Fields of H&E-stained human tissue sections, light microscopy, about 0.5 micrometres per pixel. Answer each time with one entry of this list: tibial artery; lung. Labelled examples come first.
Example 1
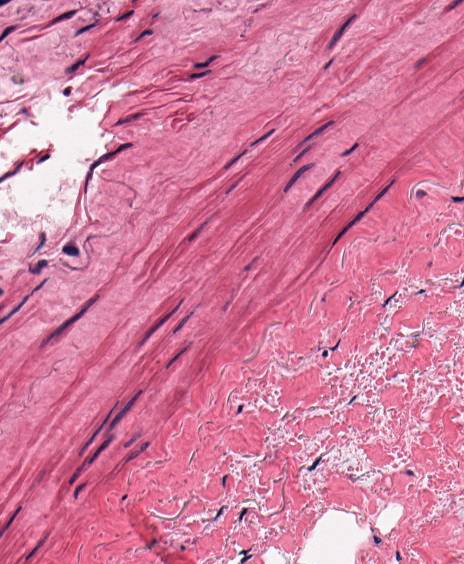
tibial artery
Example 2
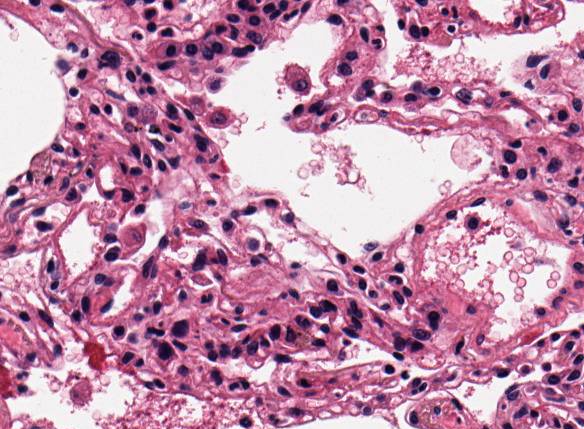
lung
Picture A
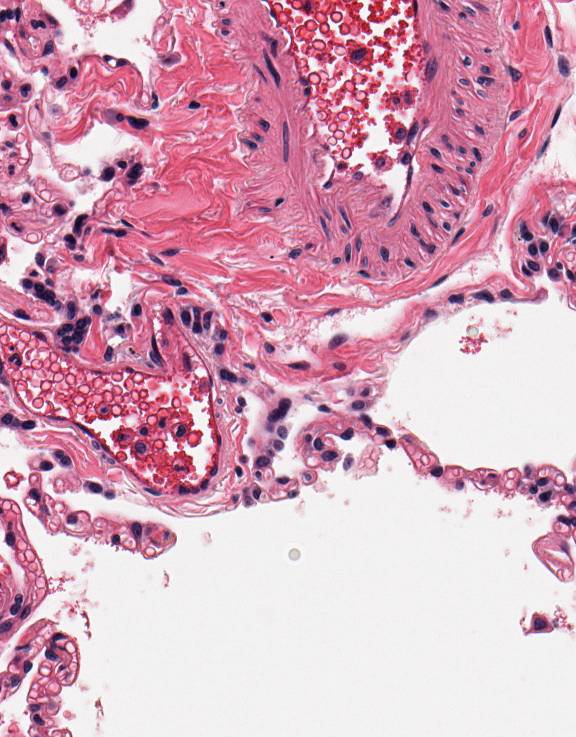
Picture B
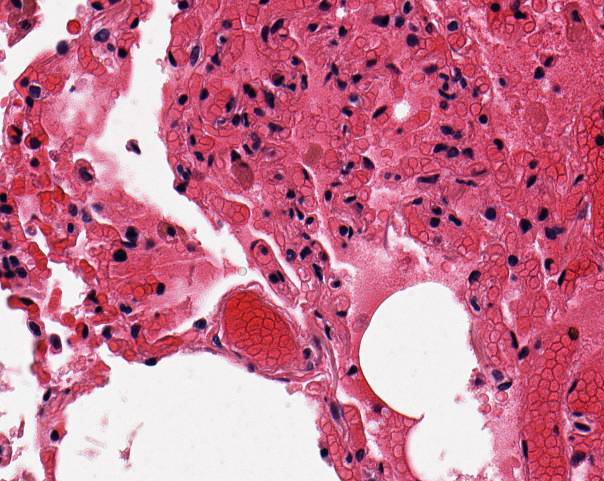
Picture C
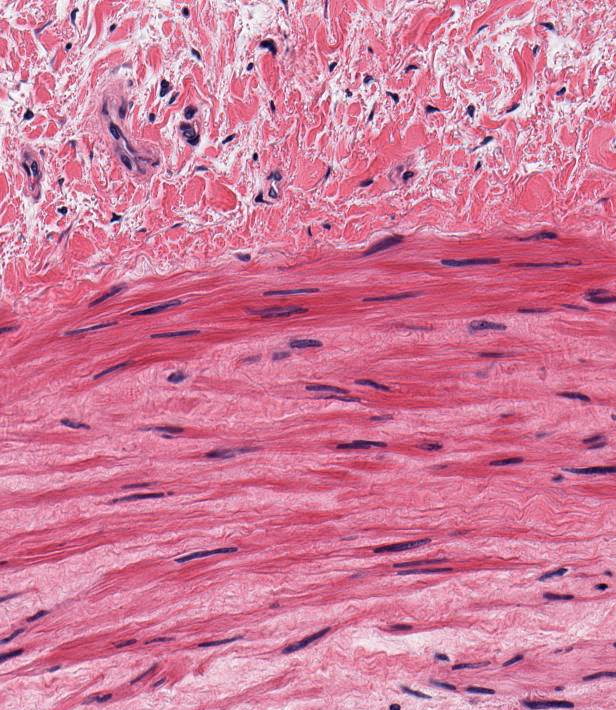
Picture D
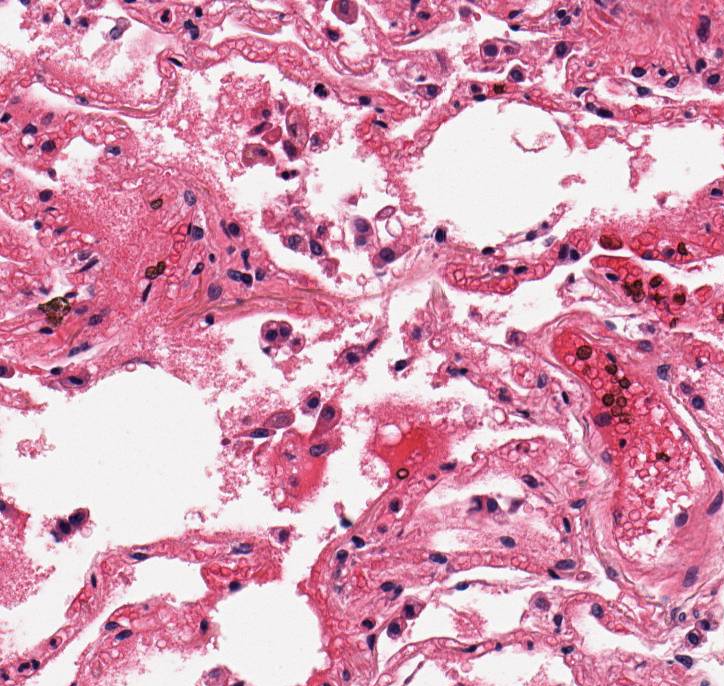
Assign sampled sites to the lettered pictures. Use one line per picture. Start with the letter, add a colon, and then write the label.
A: lung
B: lung
C: tibial artery
D: lung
